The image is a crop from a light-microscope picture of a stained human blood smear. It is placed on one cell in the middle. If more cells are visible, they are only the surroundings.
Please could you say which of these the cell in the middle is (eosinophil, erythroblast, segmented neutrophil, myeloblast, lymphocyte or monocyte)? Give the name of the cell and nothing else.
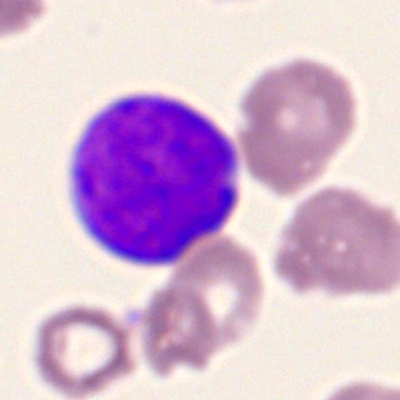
myeloblast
